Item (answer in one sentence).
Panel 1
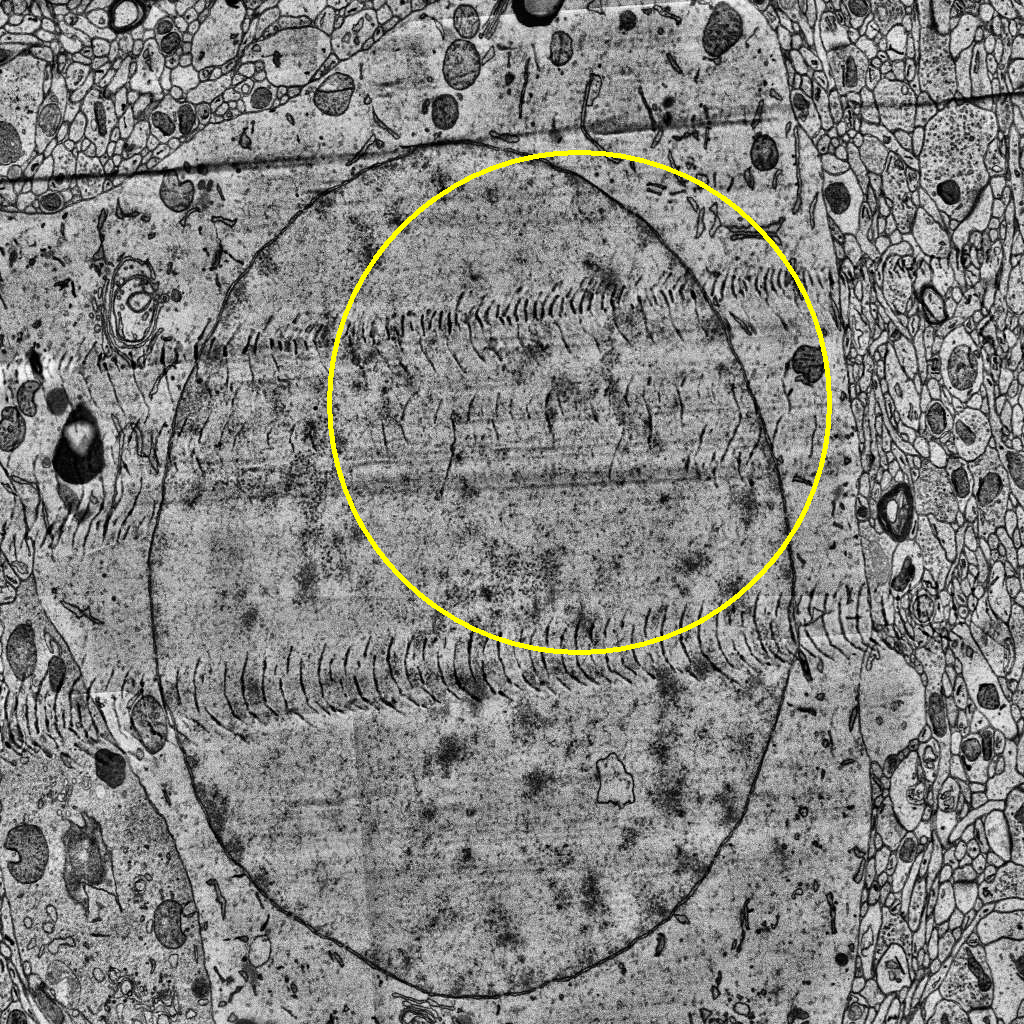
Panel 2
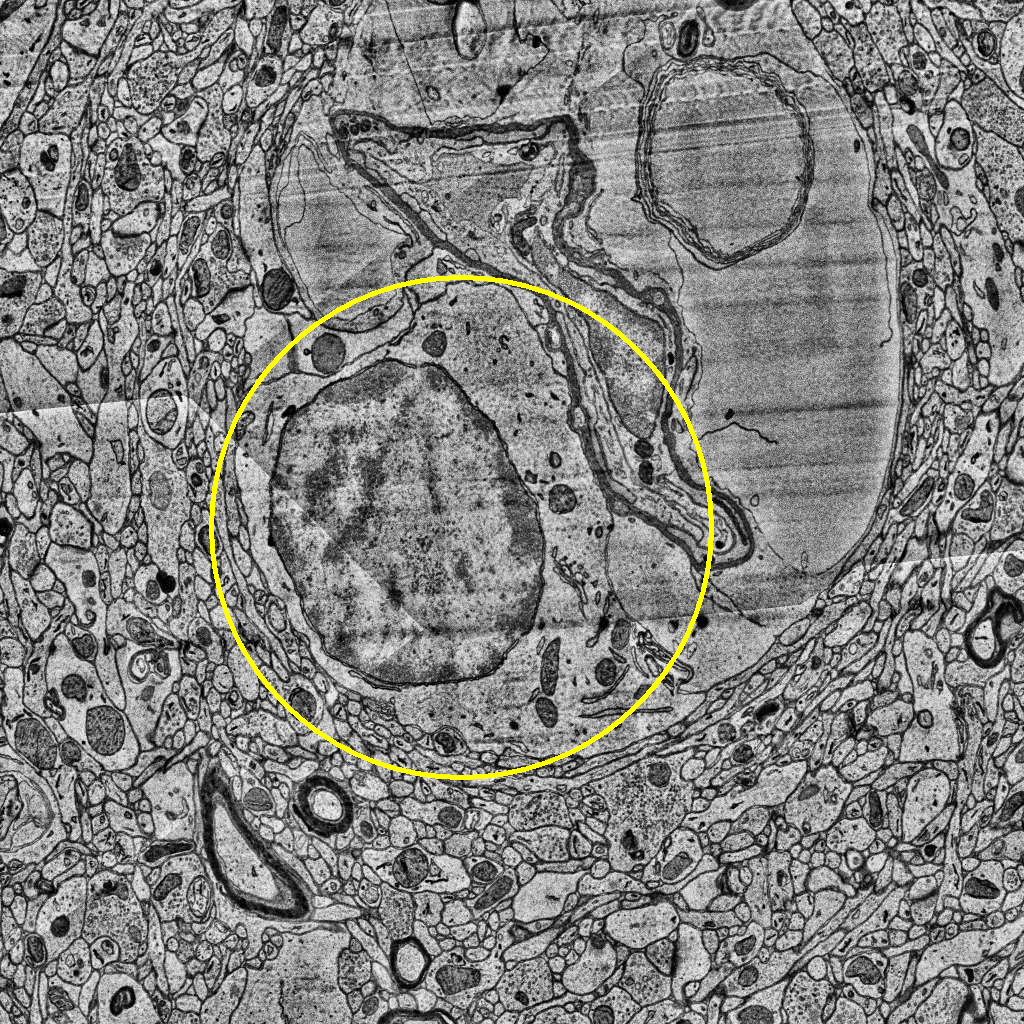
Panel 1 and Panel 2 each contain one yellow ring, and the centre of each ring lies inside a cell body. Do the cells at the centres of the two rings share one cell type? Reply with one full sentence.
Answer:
No, Panel 1 and Panel 2 show cells of two types at the centres of their rings.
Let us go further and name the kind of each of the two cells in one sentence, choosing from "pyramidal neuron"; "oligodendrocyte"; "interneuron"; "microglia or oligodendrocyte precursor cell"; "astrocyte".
The first is a pyramidal neuron and the second is a microglial cell or oligodendrocyte precursor cell.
